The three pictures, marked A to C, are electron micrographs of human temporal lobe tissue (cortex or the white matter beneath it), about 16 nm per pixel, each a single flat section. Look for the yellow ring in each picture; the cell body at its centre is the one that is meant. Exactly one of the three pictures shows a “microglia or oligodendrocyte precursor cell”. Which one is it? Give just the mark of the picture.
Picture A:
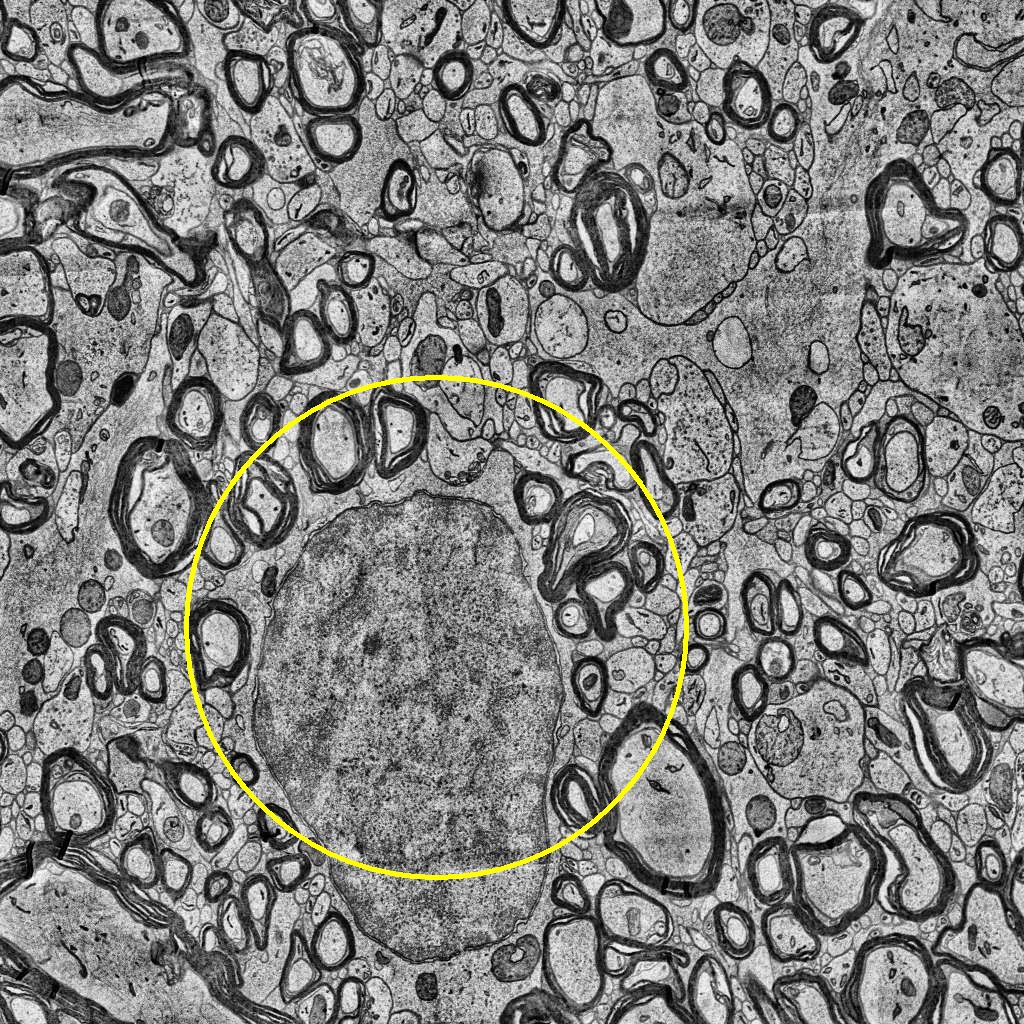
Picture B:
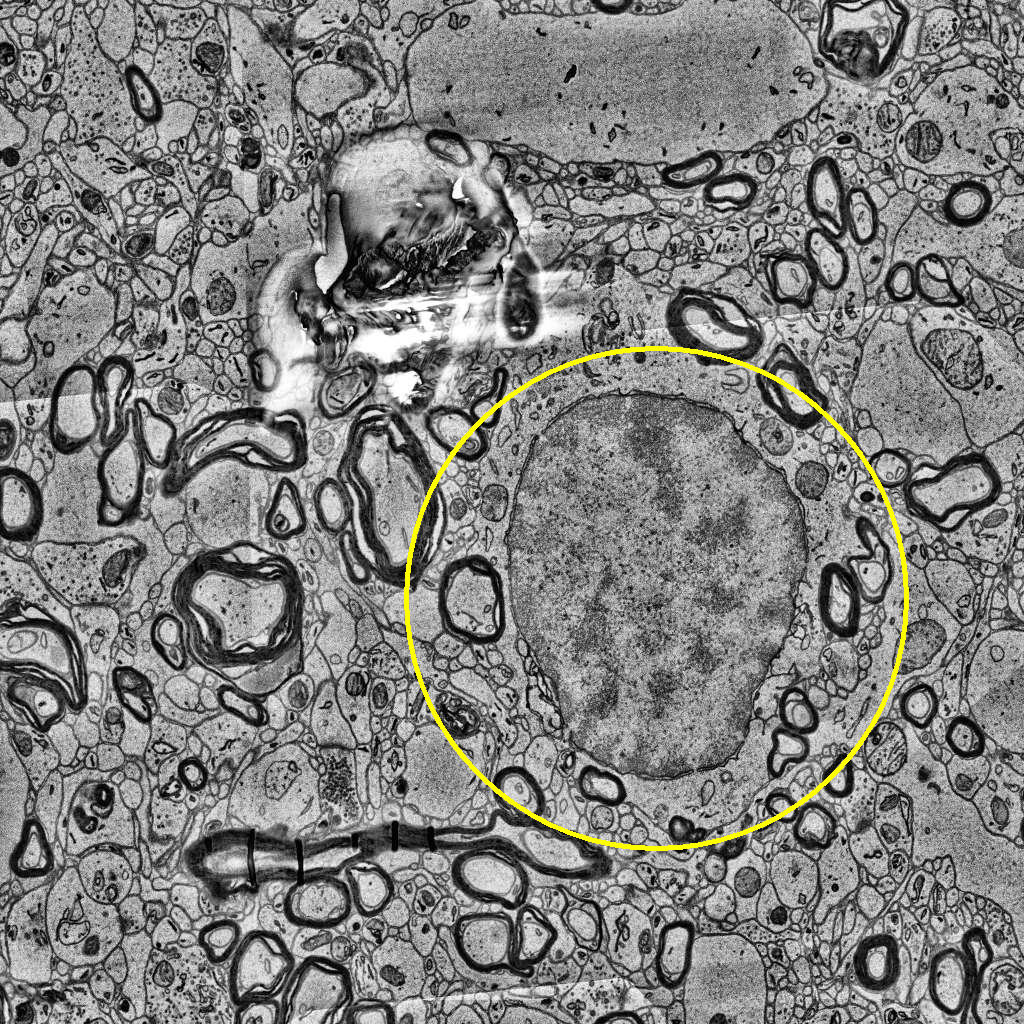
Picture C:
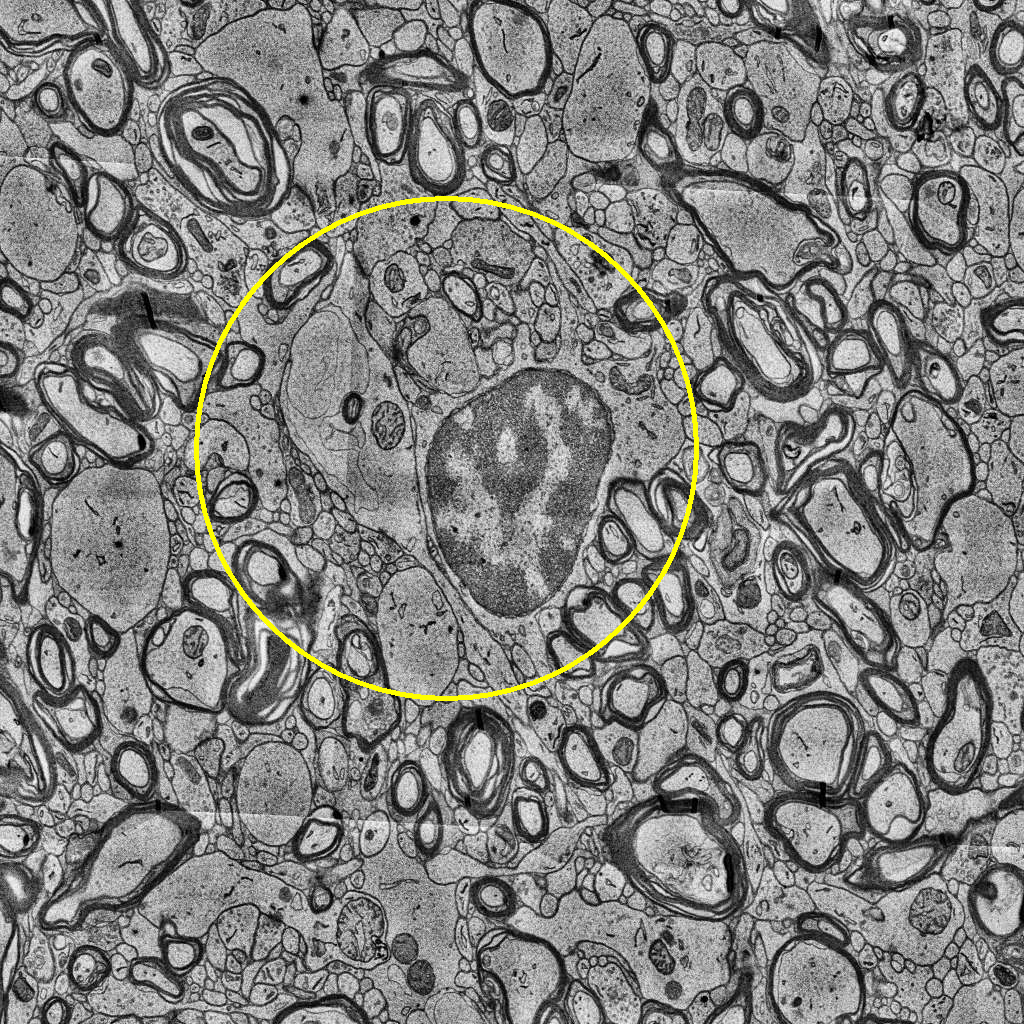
C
